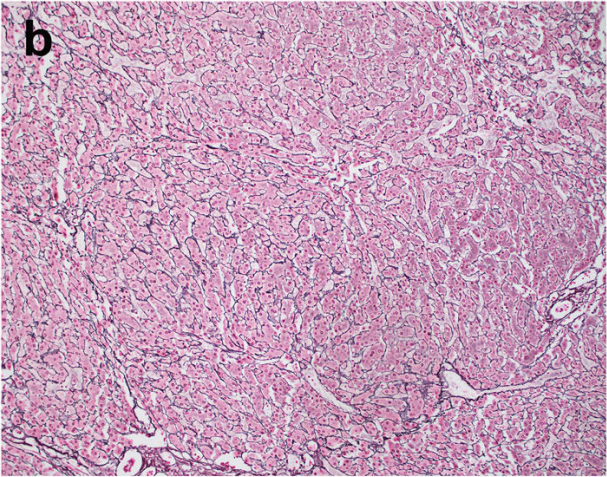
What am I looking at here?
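This is liver parenchyma in which a black-staining reticulin fibre network outlines the hepatocyte plates on a pink background. The parenchyma is divided into rounded nodules, within which the plates appear widened. At the edges of the nodules the plates are thin and the reticulin fibres lie closer together, as if compressed. There are no broad fibrous septa between the nodules, and small vessels are seen near the lower margin.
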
